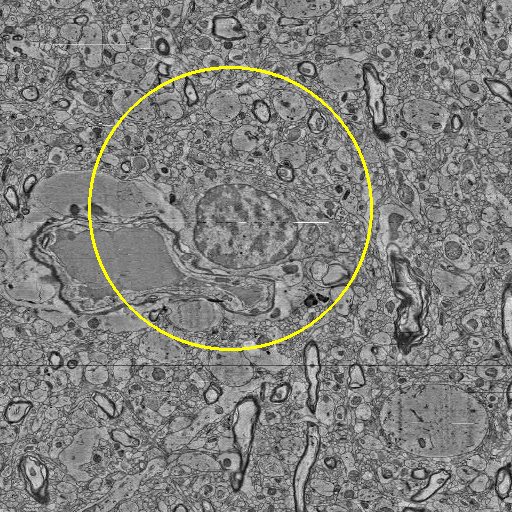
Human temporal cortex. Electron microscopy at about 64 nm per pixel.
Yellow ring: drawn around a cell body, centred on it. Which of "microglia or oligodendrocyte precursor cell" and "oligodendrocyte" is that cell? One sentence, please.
That cell body is from an oligodendrocyte.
